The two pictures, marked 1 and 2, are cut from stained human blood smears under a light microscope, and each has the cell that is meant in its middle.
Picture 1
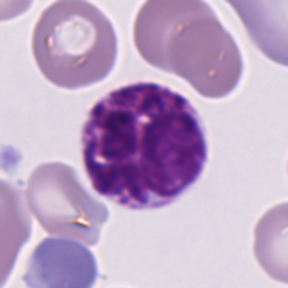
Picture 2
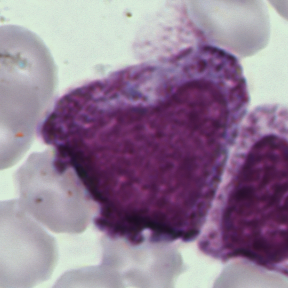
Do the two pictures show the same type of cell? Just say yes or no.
no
